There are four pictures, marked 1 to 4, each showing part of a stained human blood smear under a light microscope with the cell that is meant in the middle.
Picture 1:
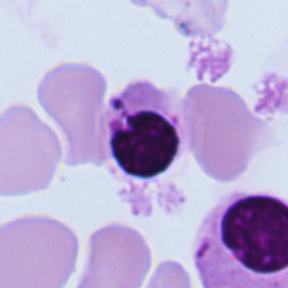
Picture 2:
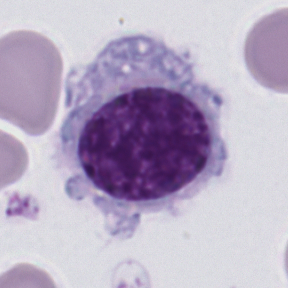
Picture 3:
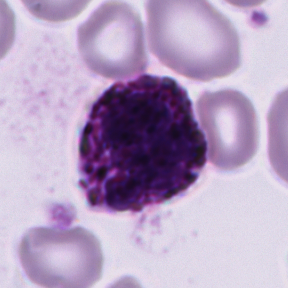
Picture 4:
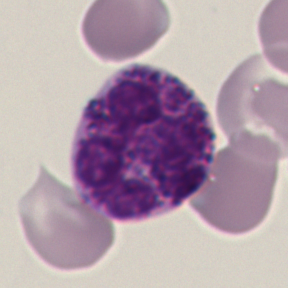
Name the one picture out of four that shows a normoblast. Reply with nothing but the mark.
1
